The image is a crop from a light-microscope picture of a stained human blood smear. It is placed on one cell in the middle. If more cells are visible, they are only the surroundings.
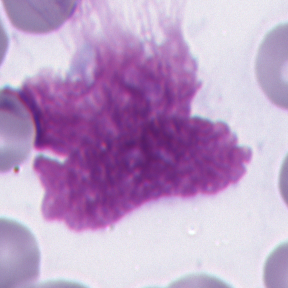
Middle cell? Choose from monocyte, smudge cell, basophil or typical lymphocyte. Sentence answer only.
The central cell in this smear crop is a smudge cell.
